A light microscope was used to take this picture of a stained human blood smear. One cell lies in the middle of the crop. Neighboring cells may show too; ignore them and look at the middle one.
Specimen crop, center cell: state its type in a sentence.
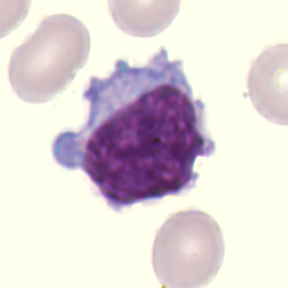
The cell in the middle of this crop is a plasma cell.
